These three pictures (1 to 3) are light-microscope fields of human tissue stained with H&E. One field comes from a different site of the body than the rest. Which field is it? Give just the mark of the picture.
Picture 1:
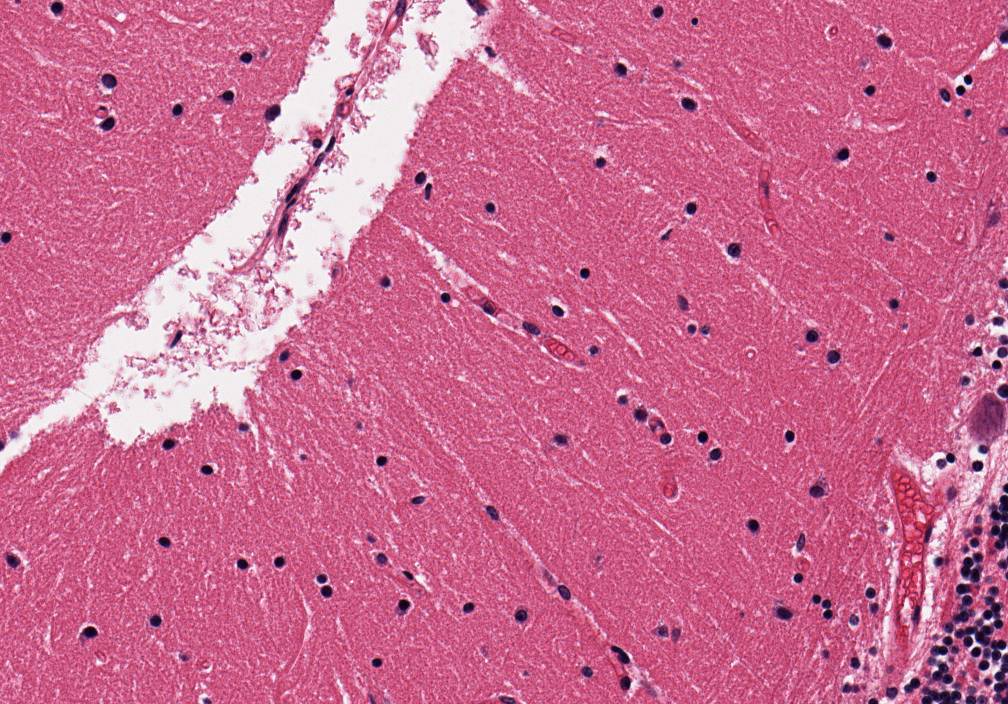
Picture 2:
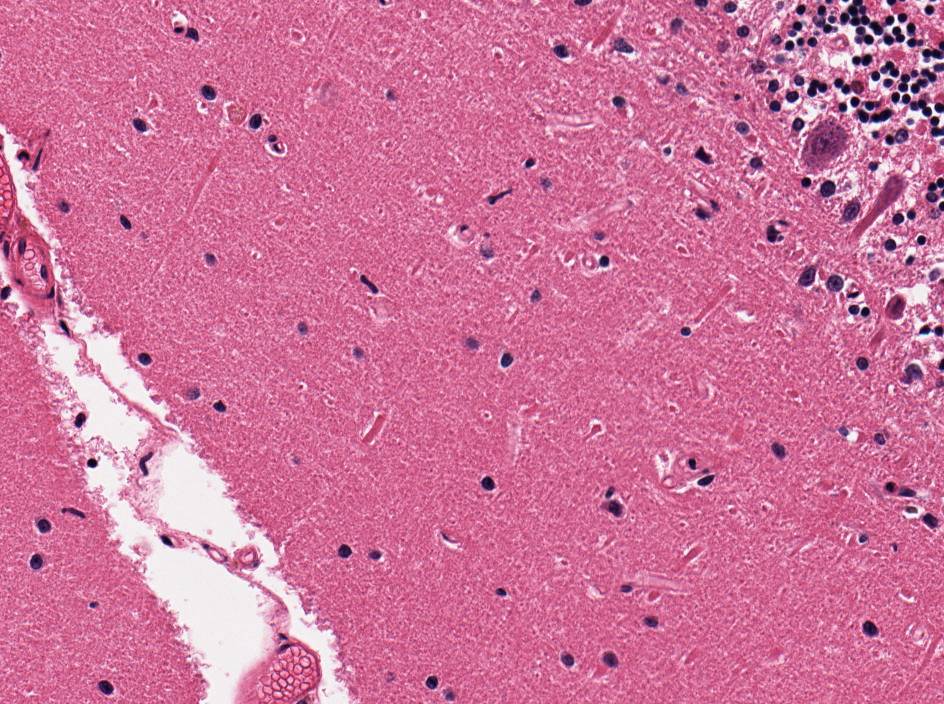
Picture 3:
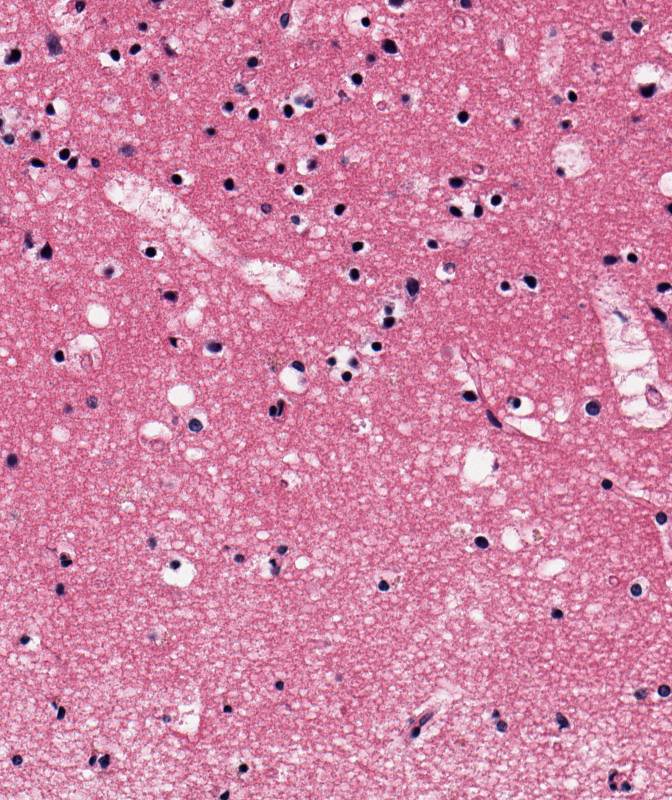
3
